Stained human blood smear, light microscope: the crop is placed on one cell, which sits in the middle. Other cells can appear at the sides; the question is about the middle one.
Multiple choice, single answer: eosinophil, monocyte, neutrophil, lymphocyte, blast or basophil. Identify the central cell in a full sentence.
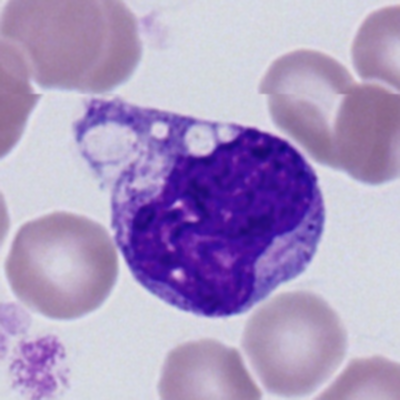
In this smear crop, the middle cell is a monocyte.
